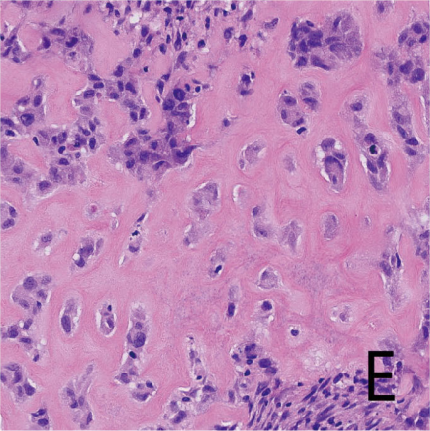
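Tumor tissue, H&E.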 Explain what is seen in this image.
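This field shows pink, homogeneous osteoid matrix in which tumour cells lie embedded. The cells are polygonal to rounded and sit singly or in small groups in spaces within the matrix. Their nuclei are large, dark and irregular, some clearly enlarged compared with others. At the upper edge the matrix thins and the cells crowd together in small clusters.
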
